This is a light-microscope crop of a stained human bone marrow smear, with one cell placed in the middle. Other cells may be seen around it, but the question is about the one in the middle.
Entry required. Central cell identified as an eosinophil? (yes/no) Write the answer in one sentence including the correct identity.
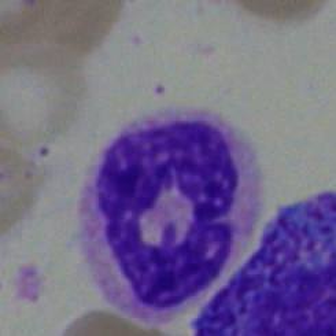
No, the label for the central cell is a band neutrophil, not an eosinophil.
